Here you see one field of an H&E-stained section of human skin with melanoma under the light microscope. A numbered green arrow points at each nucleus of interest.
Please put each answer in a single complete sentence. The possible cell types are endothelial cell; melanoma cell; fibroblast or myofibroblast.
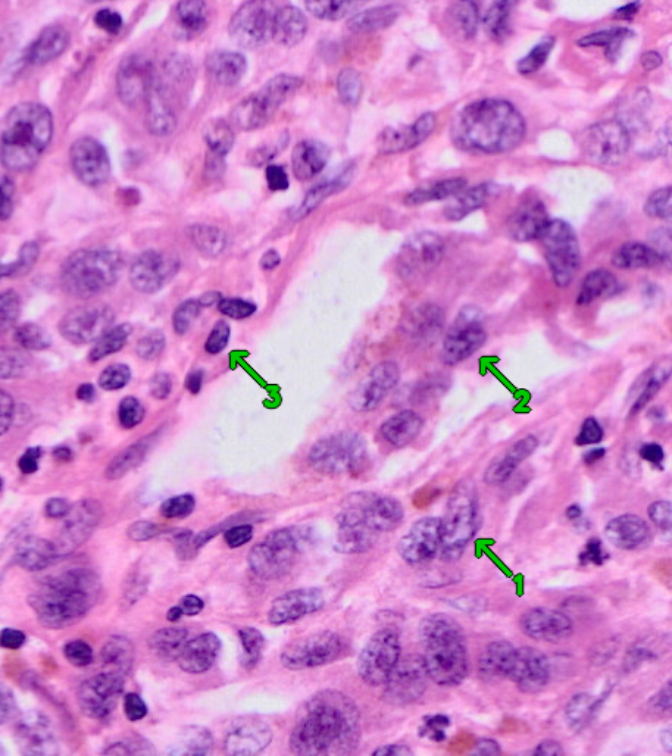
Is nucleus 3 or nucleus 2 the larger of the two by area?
Number 2 is larger; its area is about 2.5 times that of number 3.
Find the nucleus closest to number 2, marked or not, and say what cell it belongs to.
The nucleus nearest to number 2 is that of a melanoma cell.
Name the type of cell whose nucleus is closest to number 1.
The nearest nucleus to number 1 belongs to a melanoma cell.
